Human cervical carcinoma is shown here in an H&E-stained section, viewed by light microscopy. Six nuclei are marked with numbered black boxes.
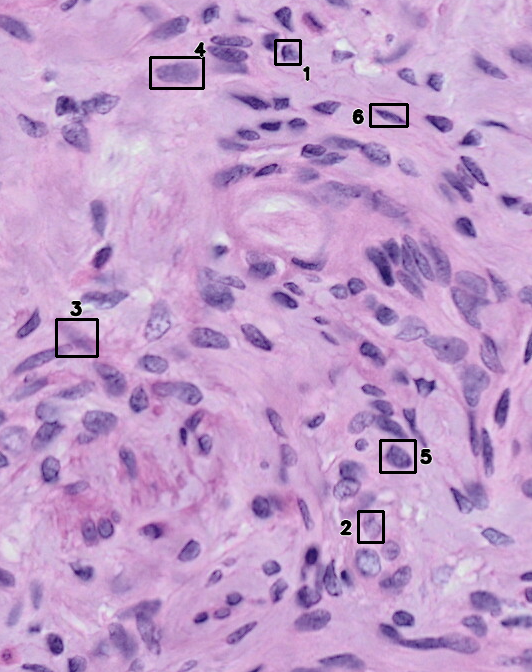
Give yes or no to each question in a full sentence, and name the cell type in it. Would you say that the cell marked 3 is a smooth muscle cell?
Yes, looking at number 3, that cell is a smooth muscle cell.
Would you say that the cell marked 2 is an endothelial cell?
Yes, cell 2 among the marked cells is an endothelial cell.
